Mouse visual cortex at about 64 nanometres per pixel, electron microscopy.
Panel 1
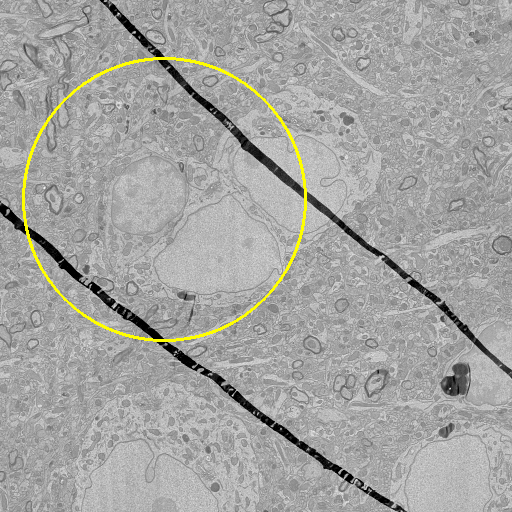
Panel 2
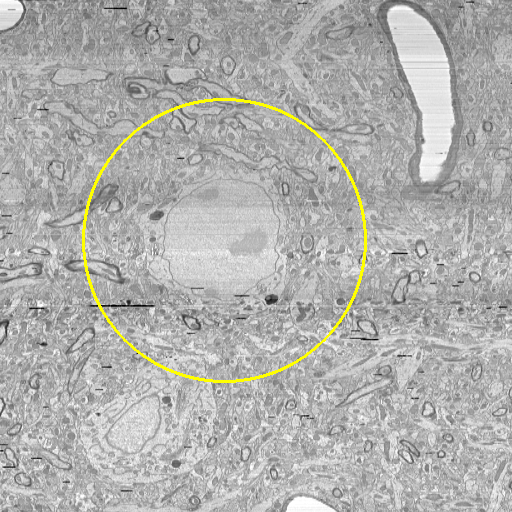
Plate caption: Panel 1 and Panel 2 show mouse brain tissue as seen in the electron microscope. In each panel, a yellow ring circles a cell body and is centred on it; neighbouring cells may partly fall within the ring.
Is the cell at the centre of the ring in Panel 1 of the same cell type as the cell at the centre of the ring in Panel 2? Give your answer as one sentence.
No, the two cells are of two types.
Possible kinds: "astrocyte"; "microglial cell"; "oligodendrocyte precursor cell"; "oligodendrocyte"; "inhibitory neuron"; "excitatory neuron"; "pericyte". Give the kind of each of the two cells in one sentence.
The cell in the second picture is an excitatory neuron, and that in the first is an oligodendrocyte.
